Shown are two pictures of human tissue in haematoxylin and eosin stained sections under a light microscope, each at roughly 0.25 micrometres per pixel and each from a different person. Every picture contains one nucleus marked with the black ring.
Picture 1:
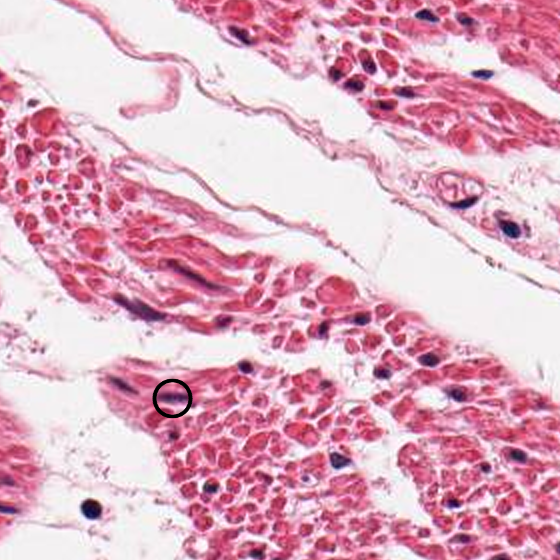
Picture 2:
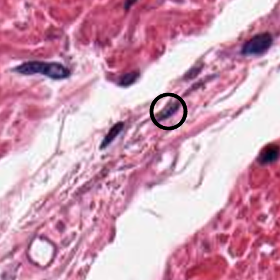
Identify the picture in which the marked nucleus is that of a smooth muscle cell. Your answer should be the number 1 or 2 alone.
1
